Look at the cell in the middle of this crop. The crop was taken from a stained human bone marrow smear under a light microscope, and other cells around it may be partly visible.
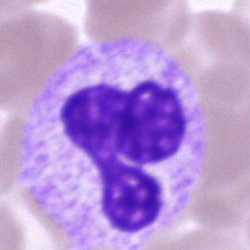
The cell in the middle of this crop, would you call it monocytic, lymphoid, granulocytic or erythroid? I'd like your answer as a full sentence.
Lineage-wise, the cell in the center of the crop is granulocytic.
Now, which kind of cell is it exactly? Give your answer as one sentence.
As for the central cell, it is a segmented neutrophil.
